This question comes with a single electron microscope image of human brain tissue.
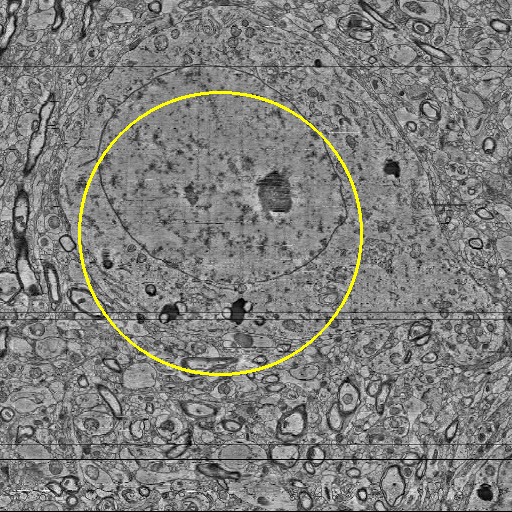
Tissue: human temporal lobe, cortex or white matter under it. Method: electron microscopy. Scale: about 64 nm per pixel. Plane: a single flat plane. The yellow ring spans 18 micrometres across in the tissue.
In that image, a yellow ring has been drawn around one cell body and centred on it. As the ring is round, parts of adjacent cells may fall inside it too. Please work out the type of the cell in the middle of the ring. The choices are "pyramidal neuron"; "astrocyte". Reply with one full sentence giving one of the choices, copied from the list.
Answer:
Of the choices, a pyramidal neuron is the cell sitting in the middle of the ring.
